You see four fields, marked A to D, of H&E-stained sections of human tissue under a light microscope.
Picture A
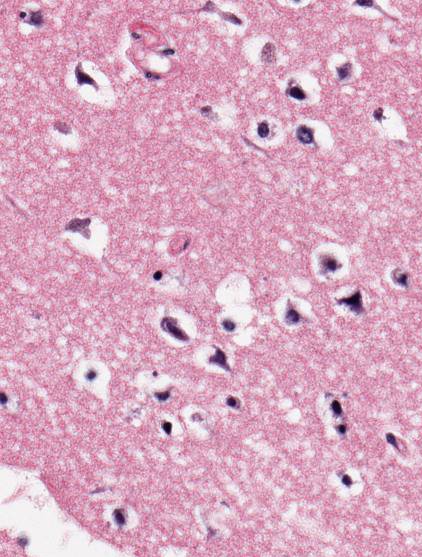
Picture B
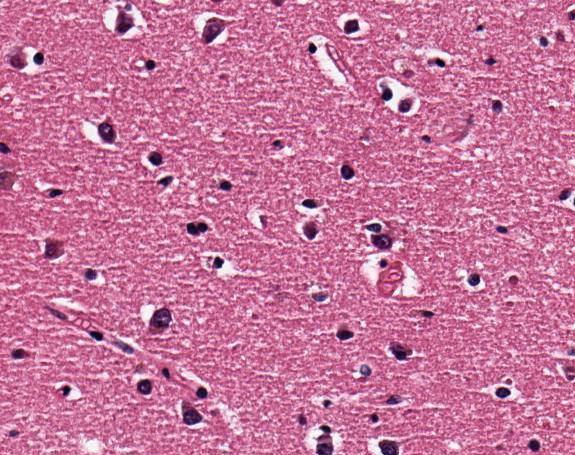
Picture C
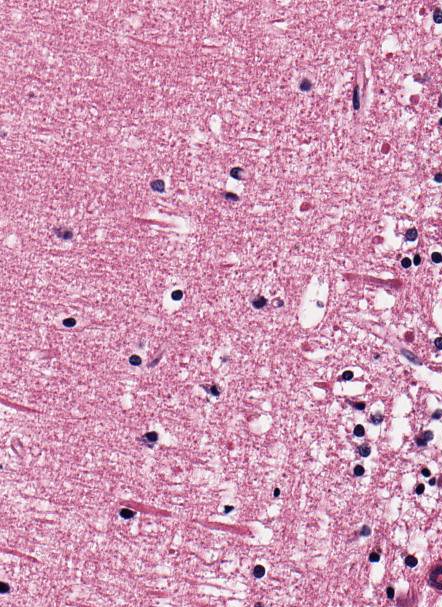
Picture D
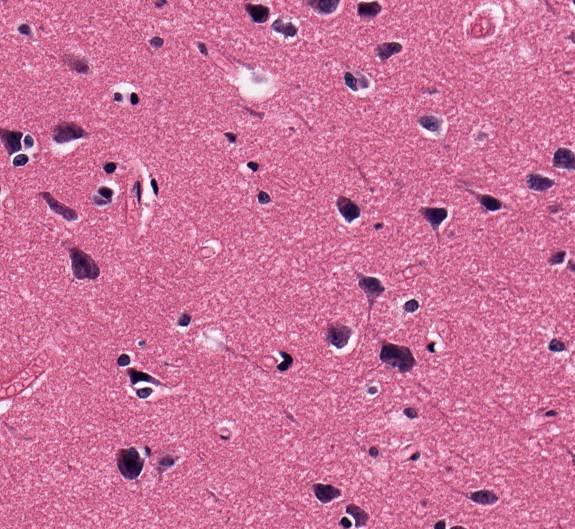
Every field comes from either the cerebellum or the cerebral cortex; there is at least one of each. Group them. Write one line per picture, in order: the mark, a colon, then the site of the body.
A: cerebral cortex
B: cerebral cortex
C: cerebellum
D: cerebral cortex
